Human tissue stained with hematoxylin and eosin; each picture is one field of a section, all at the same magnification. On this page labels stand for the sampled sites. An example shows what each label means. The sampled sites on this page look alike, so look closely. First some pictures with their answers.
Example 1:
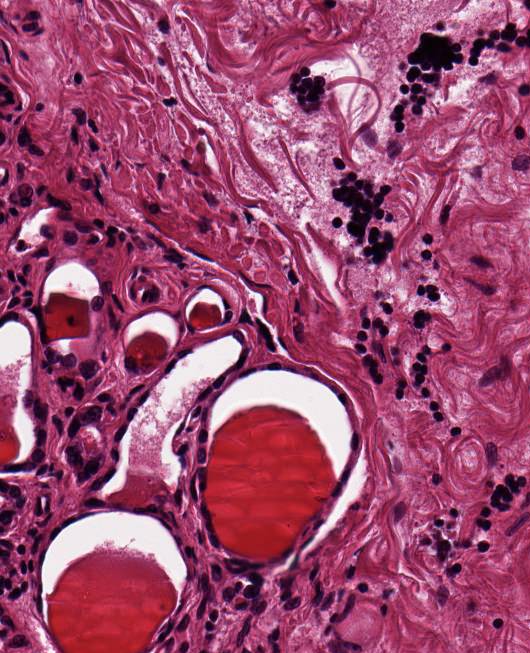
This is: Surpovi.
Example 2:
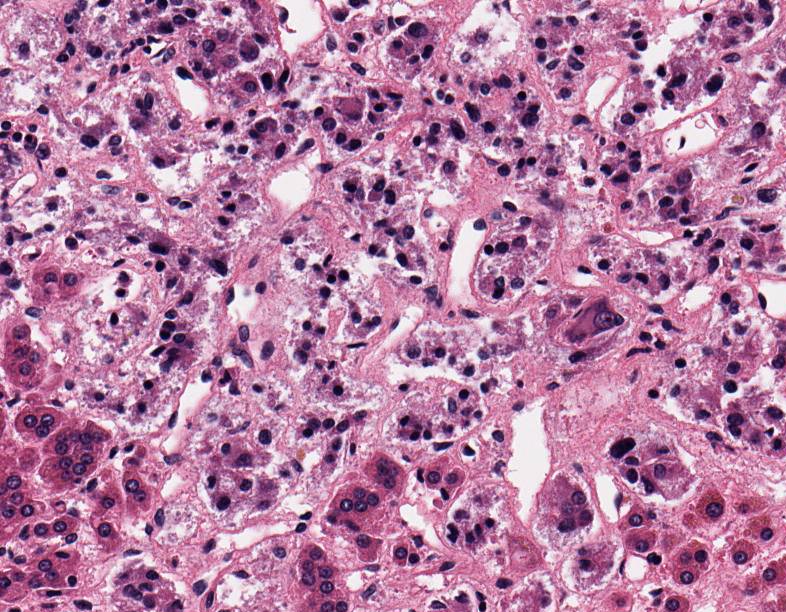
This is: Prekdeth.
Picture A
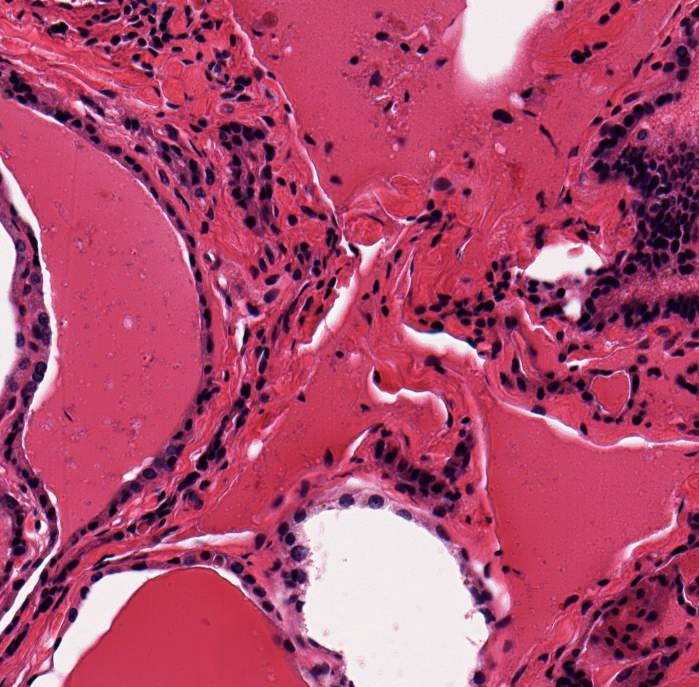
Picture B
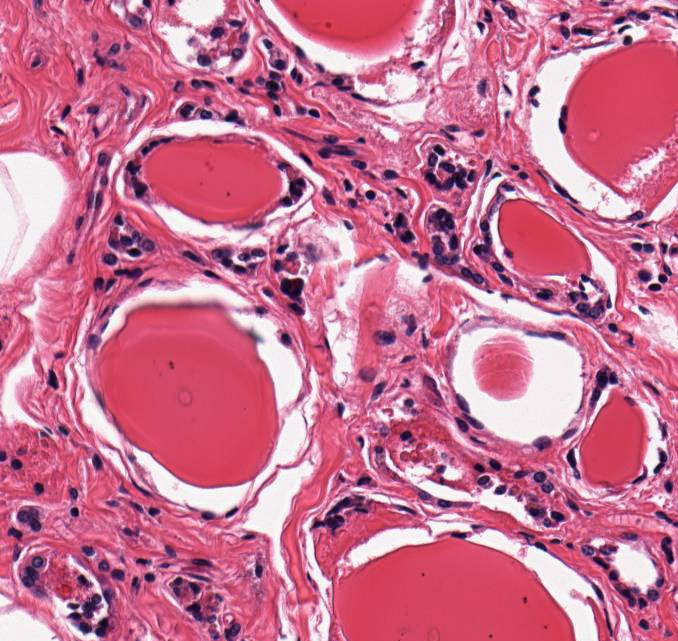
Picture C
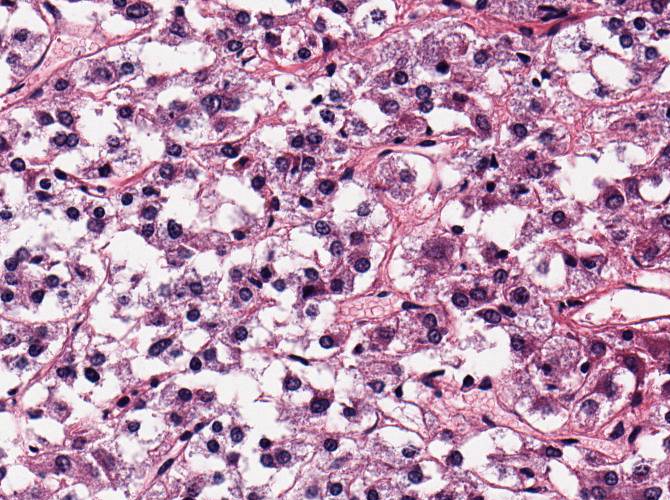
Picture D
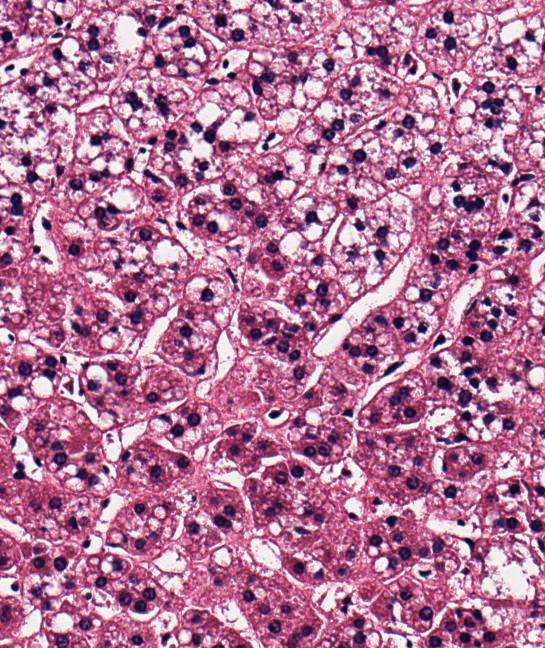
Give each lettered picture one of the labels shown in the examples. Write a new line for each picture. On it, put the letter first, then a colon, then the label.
A: Surpovi.
B: Surpovi.
C: Prekdeth.
D: Prekdeth.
